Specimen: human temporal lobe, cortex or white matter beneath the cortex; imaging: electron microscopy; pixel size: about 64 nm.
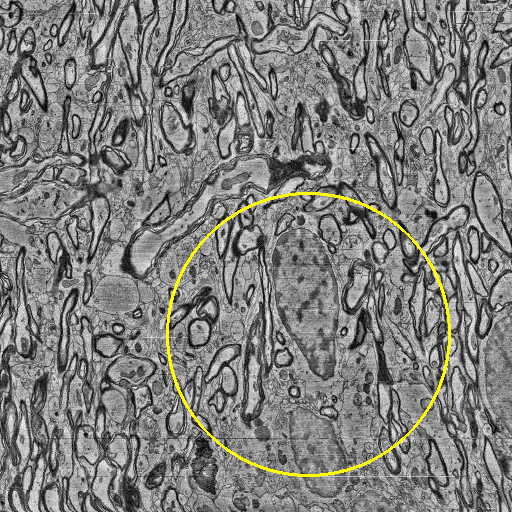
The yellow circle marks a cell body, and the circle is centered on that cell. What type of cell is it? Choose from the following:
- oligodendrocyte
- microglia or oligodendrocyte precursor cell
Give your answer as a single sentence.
This cell body belongs to a microglial cell or oligodendrocyte precursor cell.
